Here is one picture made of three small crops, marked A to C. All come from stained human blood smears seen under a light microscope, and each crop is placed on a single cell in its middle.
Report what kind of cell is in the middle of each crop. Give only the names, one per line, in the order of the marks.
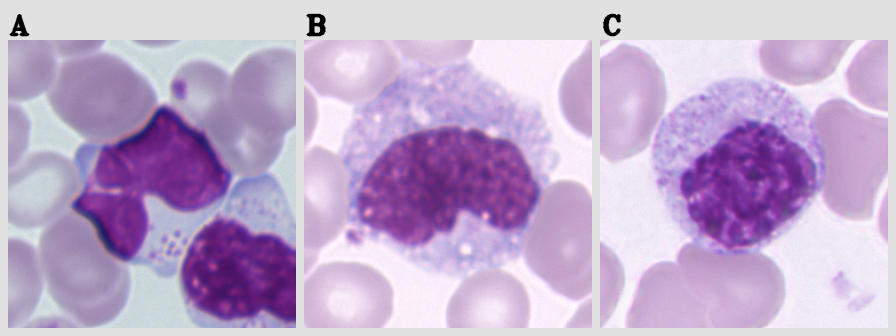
large granular lymphocyte
monocyte
myelocyte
